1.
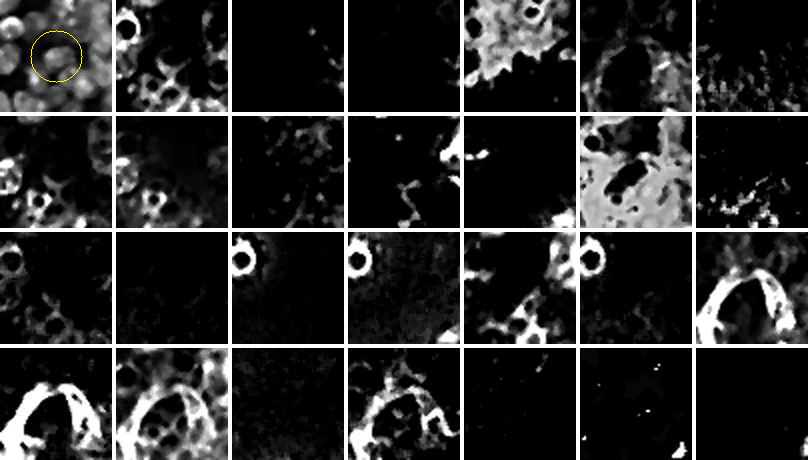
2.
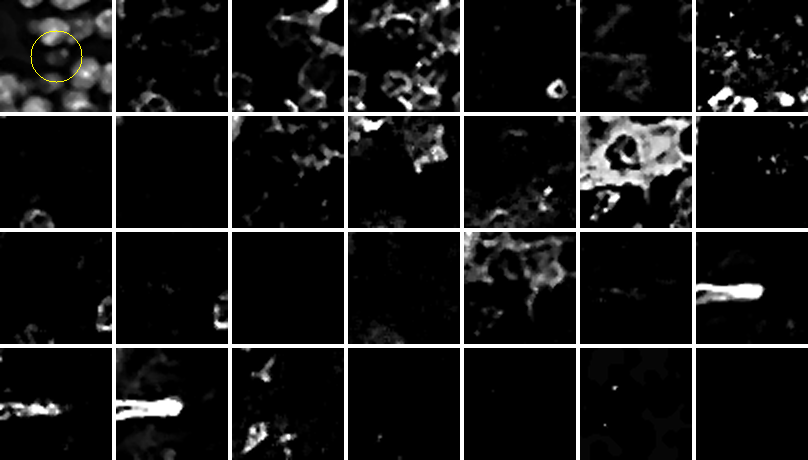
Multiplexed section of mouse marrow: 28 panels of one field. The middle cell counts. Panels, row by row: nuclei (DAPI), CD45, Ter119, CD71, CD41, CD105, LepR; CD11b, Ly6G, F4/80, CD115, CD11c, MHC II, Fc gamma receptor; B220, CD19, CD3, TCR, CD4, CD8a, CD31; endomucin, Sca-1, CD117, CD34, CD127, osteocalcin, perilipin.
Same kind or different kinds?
Same: capillary endothelial cells.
